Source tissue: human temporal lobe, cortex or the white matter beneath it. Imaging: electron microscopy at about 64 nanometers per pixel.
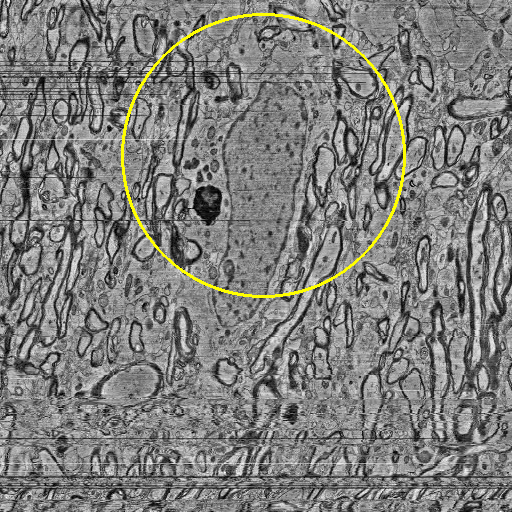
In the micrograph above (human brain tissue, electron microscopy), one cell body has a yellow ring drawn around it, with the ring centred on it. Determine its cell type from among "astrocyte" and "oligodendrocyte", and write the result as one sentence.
The cell whose body is ringed is an astrocyte.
